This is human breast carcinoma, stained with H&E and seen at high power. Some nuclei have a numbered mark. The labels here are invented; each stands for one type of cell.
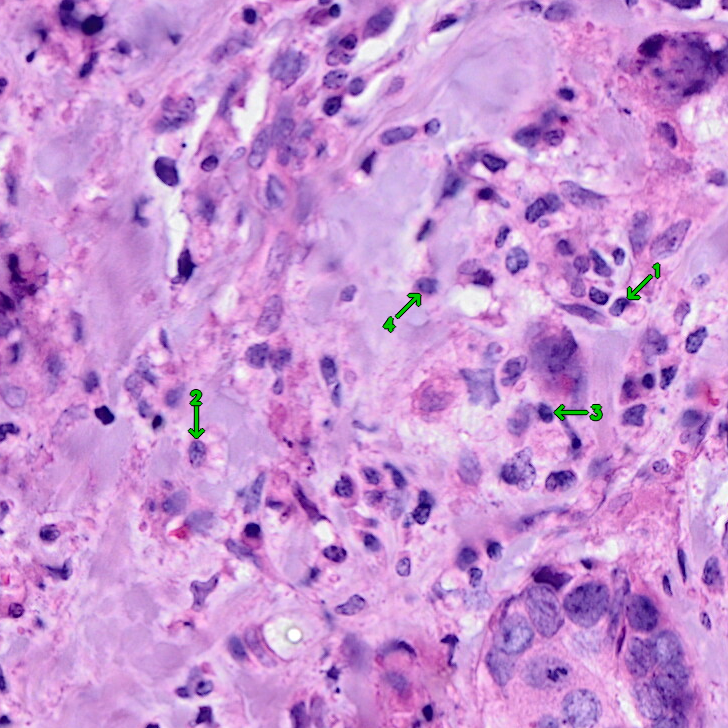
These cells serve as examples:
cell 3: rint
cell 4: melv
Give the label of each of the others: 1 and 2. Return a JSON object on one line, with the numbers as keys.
{"1": "rint", "2": "melv"}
